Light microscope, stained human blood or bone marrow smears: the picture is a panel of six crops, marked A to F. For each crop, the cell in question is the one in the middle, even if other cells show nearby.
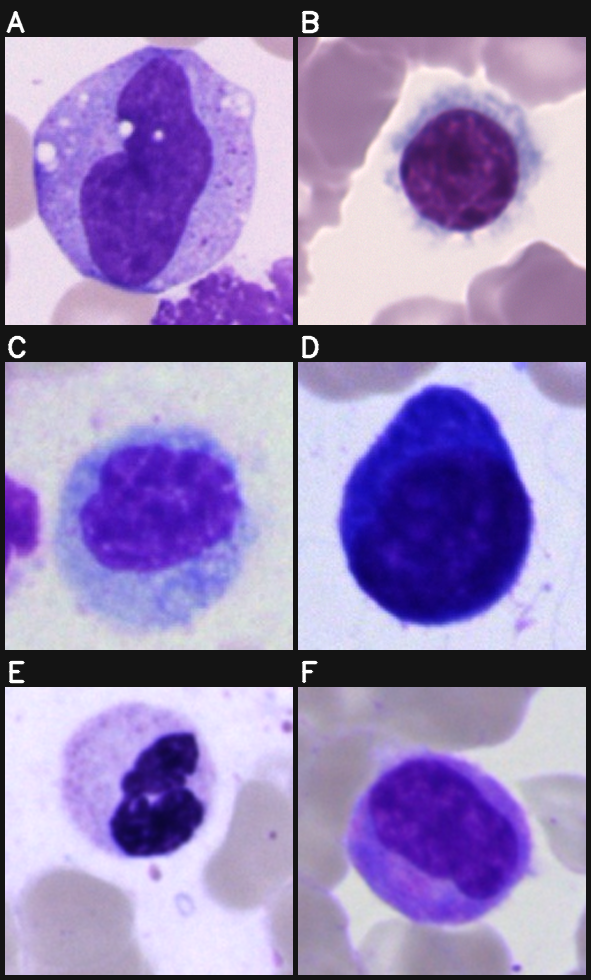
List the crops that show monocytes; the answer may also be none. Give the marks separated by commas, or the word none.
A, C, F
